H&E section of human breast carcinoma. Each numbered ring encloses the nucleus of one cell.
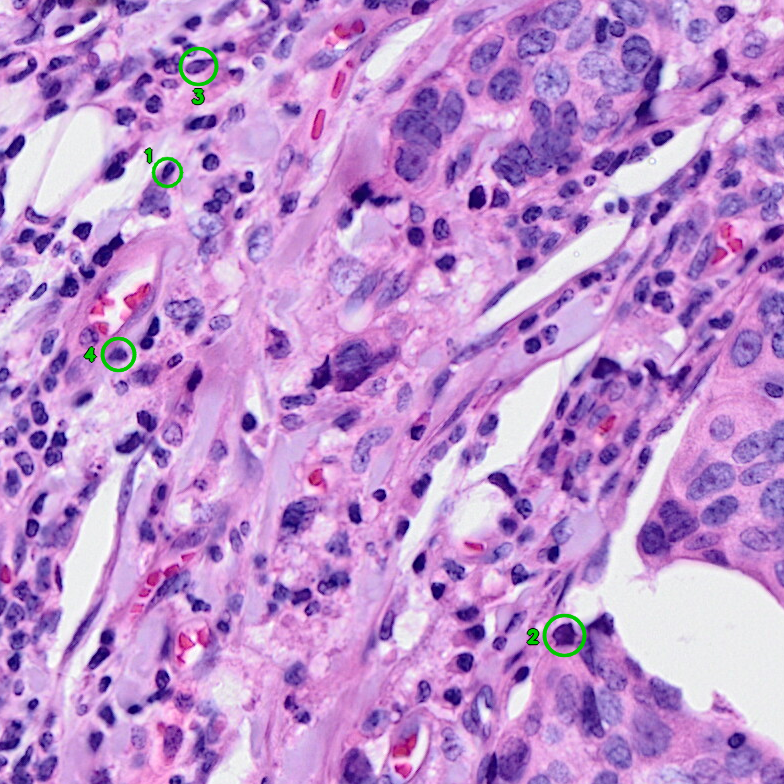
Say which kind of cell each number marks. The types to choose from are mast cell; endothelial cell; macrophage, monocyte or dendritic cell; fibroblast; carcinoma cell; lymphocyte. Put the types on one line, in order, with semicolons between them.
lymphocyte; carcinoma cell; lymphocyte; lymphocyte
